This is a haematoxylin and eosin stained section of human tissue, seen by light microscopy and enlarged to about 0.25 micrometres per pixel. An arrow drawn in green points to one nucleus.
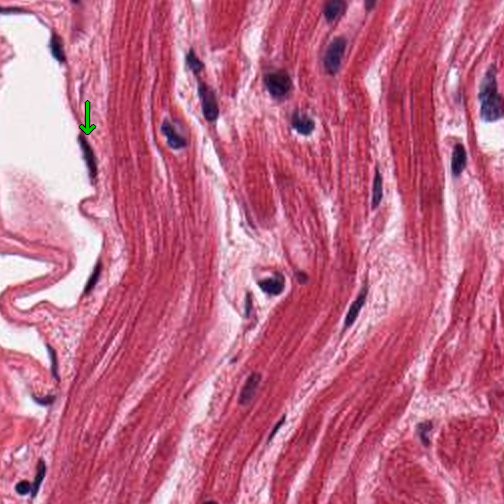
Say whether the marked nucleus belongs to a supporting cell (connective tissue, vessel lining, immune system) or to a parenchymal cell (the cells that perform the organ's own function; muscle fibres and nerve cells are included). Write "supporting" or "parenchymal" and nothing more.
supporting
